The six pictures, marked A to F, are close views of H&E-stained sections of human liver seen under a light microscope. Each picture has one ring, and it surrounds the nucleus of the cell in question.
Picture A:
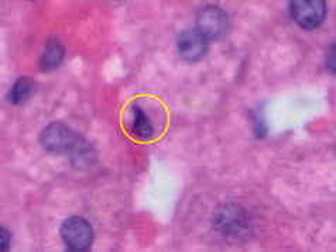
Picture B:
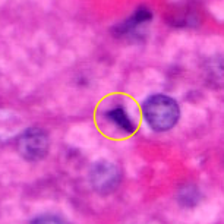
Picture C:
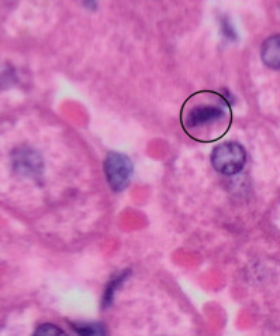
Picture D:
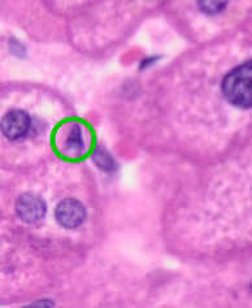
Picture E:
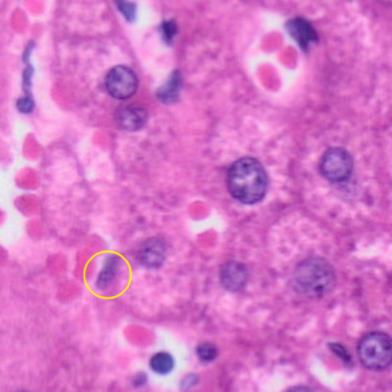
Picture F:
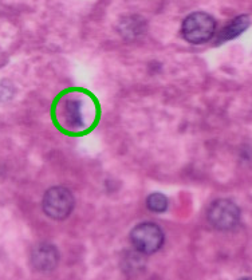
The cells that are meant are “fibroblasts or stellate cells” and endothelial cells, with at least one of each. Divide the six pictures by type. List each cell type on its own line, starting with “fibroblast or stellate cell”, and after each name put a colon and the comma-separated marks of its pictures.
fibroblast or stellate cell: B, C, D
endothelial cell: A, E, F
